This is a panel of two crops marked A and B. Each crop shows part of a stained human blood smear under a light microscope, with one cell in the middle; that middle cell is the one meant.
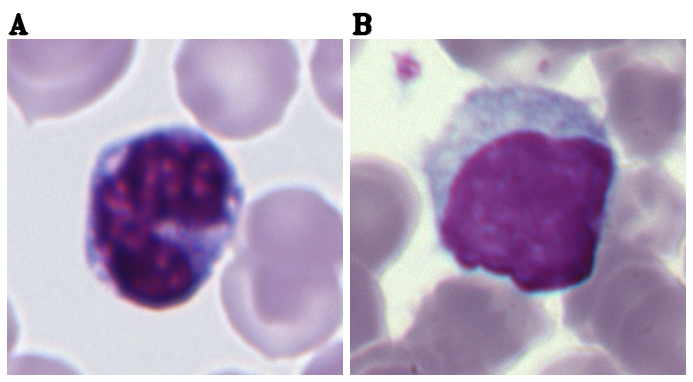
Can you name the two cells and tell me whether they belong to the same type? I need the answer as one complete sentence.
Yes, both crops show a cell each, and these are typical lymphocytes.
